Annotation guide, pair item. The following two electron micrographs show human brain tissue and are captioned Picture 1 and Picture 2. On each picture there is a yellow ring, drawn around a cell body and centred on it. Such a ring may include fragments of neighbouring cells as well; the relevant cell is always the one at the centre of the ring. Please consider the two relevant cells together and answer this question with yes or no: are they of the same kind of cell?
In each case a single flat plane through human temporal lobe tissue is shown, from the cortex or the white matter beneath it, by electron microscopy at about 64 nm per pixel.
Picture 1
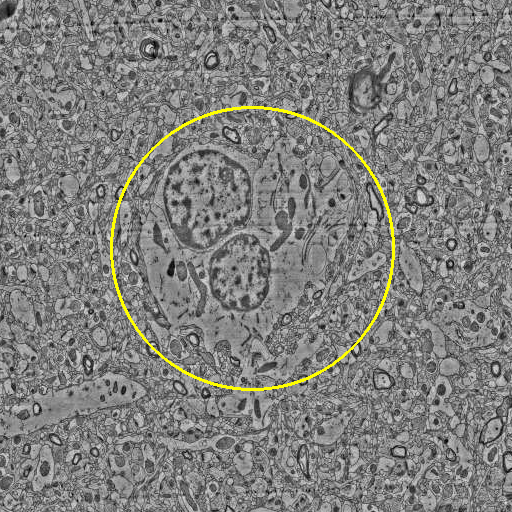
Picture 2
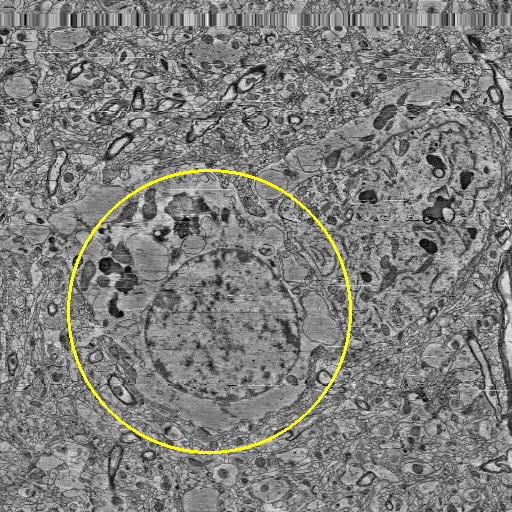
yes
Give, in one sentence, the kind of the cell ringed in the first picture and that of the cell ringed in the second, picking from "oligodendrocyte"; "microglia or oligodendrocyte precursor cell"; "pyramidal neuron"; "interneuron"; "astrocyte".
Each of the two pictures has an astrocyte at the ring centre.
